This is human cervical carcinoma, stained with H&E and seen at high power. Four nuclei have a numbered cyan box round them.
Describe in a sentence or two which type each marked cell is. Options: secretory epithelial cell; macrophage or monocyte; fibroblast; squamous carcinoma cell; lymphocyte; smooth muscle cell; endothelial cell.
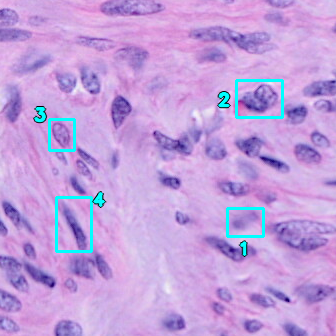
Cells 1, 3 and 4 are smooth muscle cells. Cell 2 is an endothelial cell.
